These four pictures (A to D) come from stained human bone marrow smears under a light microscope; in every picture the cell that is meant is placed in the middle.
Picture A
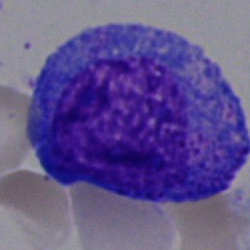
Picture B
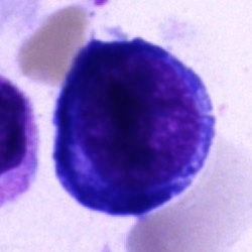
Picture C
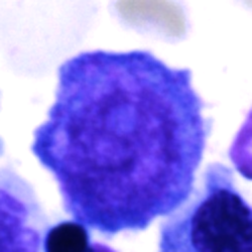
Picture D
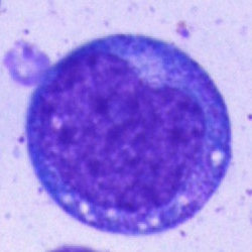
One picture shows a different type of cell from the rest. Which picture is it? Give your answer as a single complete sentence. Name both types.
All pictures except B show promyelocytes; picture B shows a proerythroblast.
